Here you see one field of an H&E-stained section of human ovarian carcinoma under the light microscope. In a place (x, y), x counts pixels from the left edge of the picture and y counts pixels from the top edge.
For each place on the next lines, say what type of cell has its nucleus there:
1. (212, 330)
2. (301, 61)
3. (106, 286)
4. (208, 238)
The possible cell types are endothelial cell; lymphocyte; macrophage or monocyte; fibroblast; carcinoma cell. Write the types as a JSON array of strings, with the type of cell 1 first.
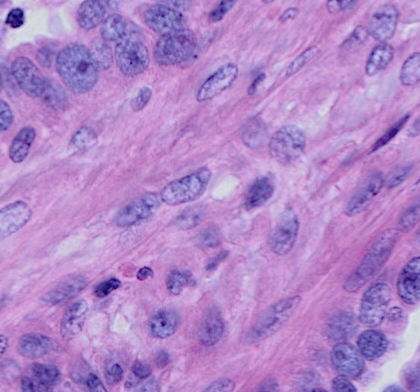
["fibroblast", "fibroblast", "lymphocyte", "fibroblast"]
